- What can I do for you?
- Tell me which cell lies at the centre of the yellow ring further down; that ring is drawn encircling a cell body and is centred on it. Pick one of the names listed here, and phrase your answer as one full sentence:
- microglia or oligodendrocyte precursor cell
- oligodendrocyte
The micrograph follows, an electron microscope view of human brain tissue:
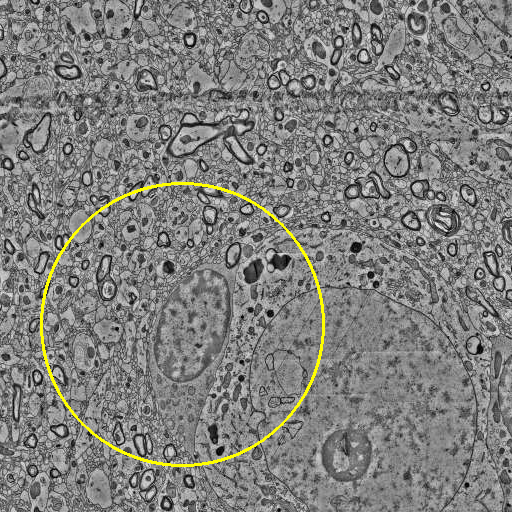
The cell whose body lies at the centre of the yellow ring is an oligodendrocyte.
